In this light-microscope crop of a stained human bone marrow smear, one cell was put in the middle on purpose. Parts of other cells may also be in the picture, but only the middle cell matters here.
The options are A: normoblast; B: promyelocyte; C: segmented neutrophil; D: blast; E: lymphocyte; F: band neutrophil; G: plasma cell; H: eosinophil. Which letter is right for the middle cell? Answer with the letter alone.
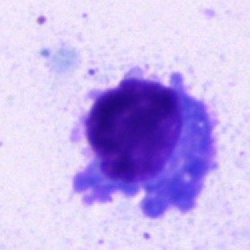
G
